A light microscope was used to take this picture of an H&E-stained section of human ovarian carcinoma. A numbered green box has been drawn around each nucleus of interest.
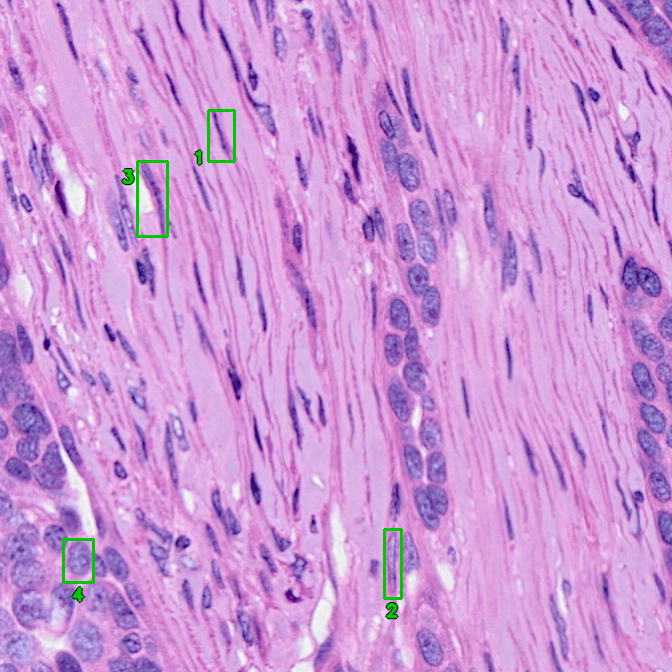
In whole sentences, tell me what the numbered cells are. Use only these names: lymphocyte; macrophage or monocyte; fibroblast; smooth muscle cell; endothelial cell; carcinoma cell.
Cells 1, 2 and 3 are fibroblasts. Cell 4 is a carcinoma cell.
